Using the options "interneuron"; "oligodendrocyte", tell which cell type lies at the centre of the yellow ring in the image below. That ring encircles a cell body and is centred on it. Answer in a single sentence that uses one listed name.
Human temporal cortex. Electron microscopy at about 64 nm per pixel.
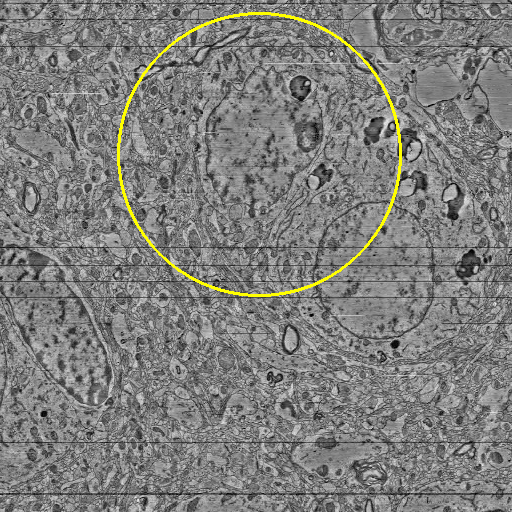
At the centre of the yellow ring lies the body of an interneuron.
